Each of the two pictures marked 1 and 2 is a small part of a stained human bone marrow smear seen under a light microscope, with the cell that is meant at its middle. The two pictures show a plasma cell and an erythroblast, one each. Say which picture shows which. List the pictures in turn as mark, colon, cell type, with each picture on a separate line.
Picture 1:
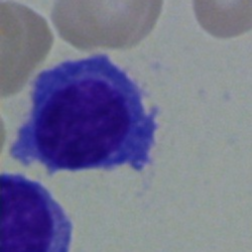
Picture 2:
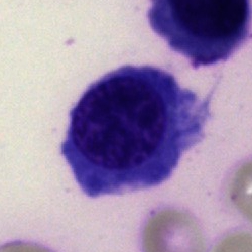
1: plasma cell
2: erythroblast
